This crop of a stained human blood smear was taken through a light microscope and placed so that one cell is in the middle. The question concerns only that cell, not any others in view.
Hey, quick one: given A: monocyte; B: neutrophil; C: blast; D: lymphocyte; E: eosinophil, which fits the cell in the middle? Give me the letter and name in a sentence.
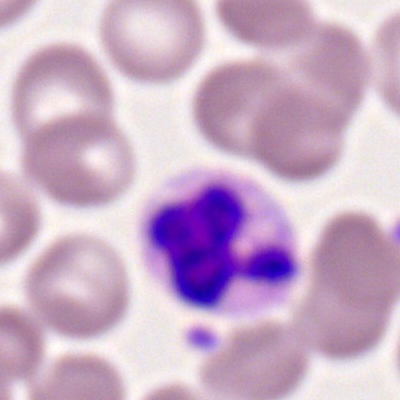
The best answer is option B, since the cell in the middle is a neutrophil.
